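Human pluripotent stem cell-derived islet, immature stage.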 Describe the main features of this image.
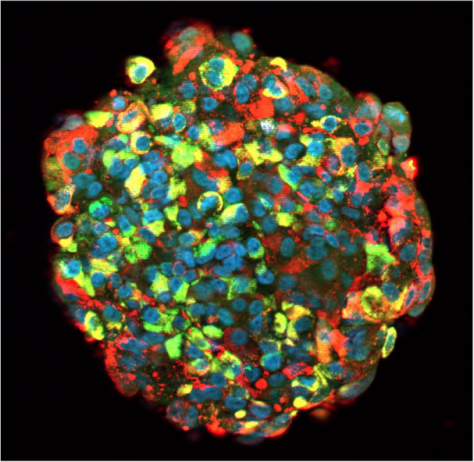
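Round blue nuclei are packed throughout the cluster, with cytoplasm of varying colour around them. Red-only, green-only and yellow cells are intermixed without a clear arrangement.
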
